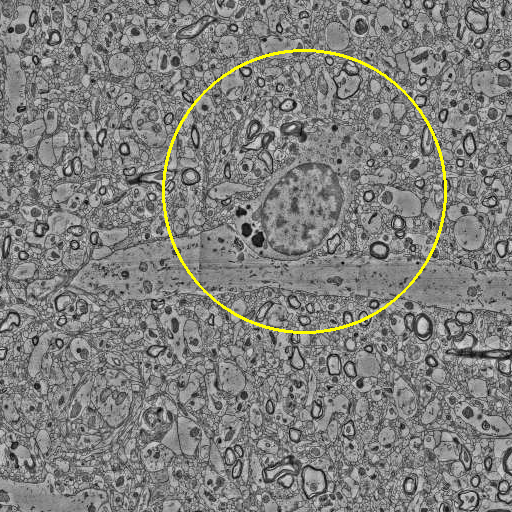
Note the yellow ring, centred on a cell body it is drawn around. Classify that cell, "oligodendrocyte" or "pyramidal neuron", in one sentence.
The cell the ring is centred on is an oligodendrocyte.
